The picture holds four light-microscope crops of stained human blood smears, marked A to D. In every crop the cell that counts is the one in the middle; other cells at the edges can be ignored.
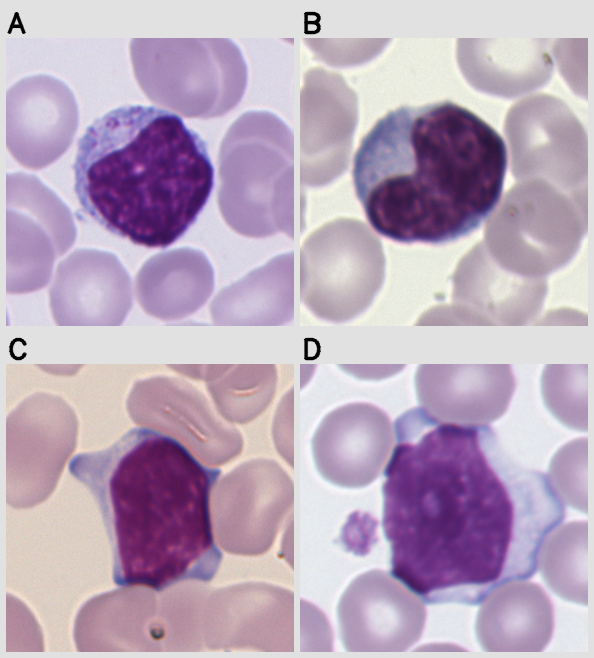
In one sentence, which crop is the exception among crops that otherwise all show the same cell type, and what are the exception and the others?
Crop A differs: it is a large granular lymphocyte, and all the other crops show typical lymphocytes.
